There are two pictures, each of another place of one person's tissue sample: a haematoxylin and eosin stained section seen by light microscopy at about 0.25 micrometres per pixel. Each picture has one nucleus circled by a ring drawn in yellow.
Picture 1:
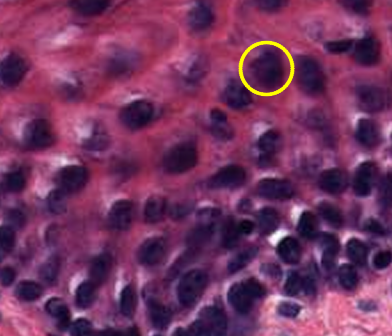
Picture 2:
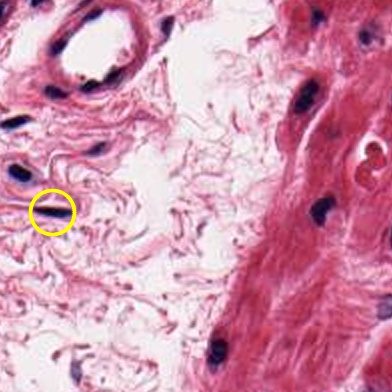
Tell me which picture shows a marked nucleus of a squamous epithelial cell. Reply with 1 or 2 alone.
1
